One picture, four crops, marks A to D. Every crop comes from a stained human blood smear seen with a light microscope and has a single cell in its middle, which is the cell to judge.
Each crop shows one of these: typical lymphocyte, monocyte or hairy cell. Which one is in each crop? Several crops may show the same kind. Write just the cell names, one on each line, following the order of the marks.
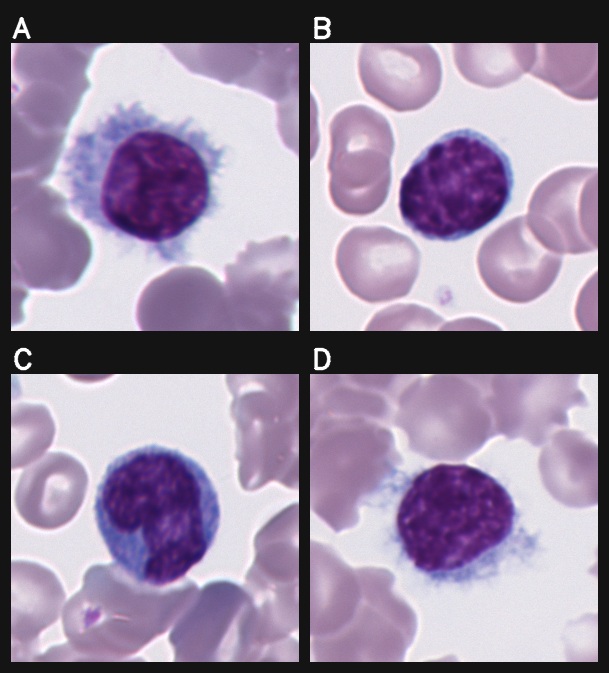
hairy cell
typical lymphocyte
monocyte
hairy cell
